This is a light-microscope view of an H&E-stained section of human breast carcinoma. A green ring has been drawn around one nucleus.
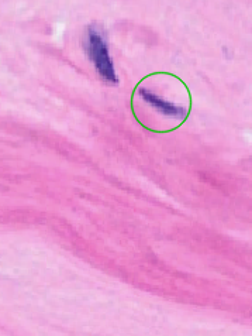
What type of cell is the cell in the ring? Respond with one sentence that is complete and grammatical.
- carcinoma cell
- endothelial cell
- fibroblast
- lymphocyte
Among the cells in this section, the cell in the ring is a fibroblast.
